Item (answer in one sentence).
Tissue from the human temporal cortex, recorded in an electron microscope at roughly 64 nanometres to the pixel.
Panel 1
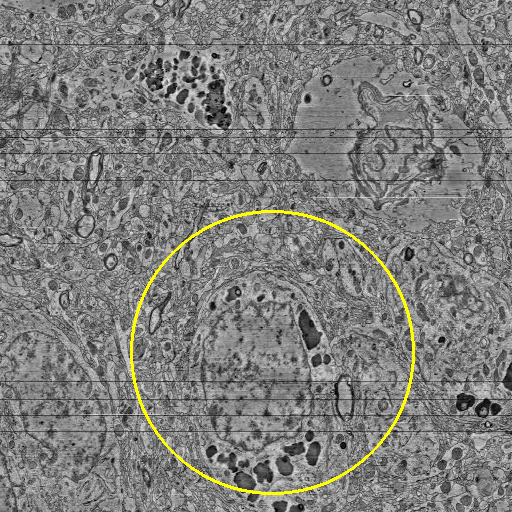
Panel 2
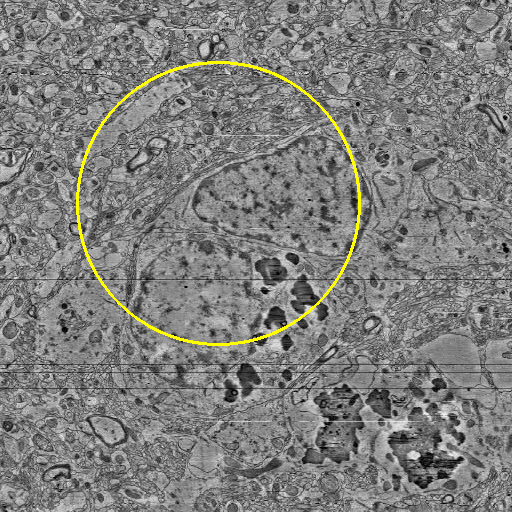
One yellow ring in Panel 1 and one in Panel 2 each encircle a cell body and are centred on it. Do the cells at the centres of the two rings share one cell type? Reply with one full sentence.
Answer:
No, Panel 1 and Panel 2 show cells of two types at the centres of their rings.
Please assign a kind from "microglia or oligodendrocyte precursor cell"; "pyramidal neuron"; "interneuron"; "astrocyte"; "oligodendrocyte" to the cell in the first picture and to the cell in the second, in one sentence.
In the first picture we have an interneuron, and in the second, a microglial cell or oligodendrocyte precursor cell.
